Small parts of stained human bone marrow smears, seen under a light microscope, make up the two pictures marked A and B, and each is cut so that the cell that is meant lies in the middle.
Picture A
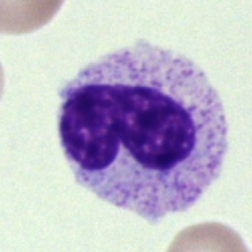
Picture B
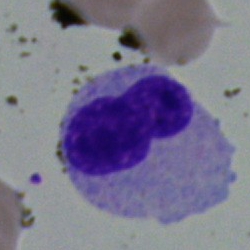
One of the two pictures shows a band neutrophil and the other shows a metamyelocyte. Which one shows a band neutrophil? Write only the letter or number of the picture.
B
